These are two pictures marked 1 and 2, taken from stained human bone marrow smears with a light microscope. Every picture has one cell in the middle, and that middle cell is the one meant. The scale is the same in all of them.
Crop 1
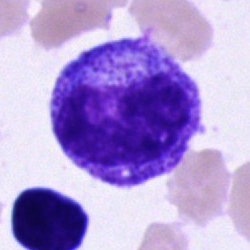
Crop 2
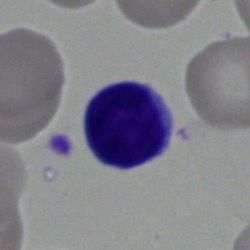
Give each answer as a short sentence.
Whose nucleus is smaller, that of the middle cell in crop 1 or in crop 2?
Smaller is the nucleus in crop 2, and the other is about 2 times as large in area.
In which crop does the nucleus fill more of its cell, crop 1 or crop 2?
Of the two, the nucleus in crop 2 makes up the greater part of its cell.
